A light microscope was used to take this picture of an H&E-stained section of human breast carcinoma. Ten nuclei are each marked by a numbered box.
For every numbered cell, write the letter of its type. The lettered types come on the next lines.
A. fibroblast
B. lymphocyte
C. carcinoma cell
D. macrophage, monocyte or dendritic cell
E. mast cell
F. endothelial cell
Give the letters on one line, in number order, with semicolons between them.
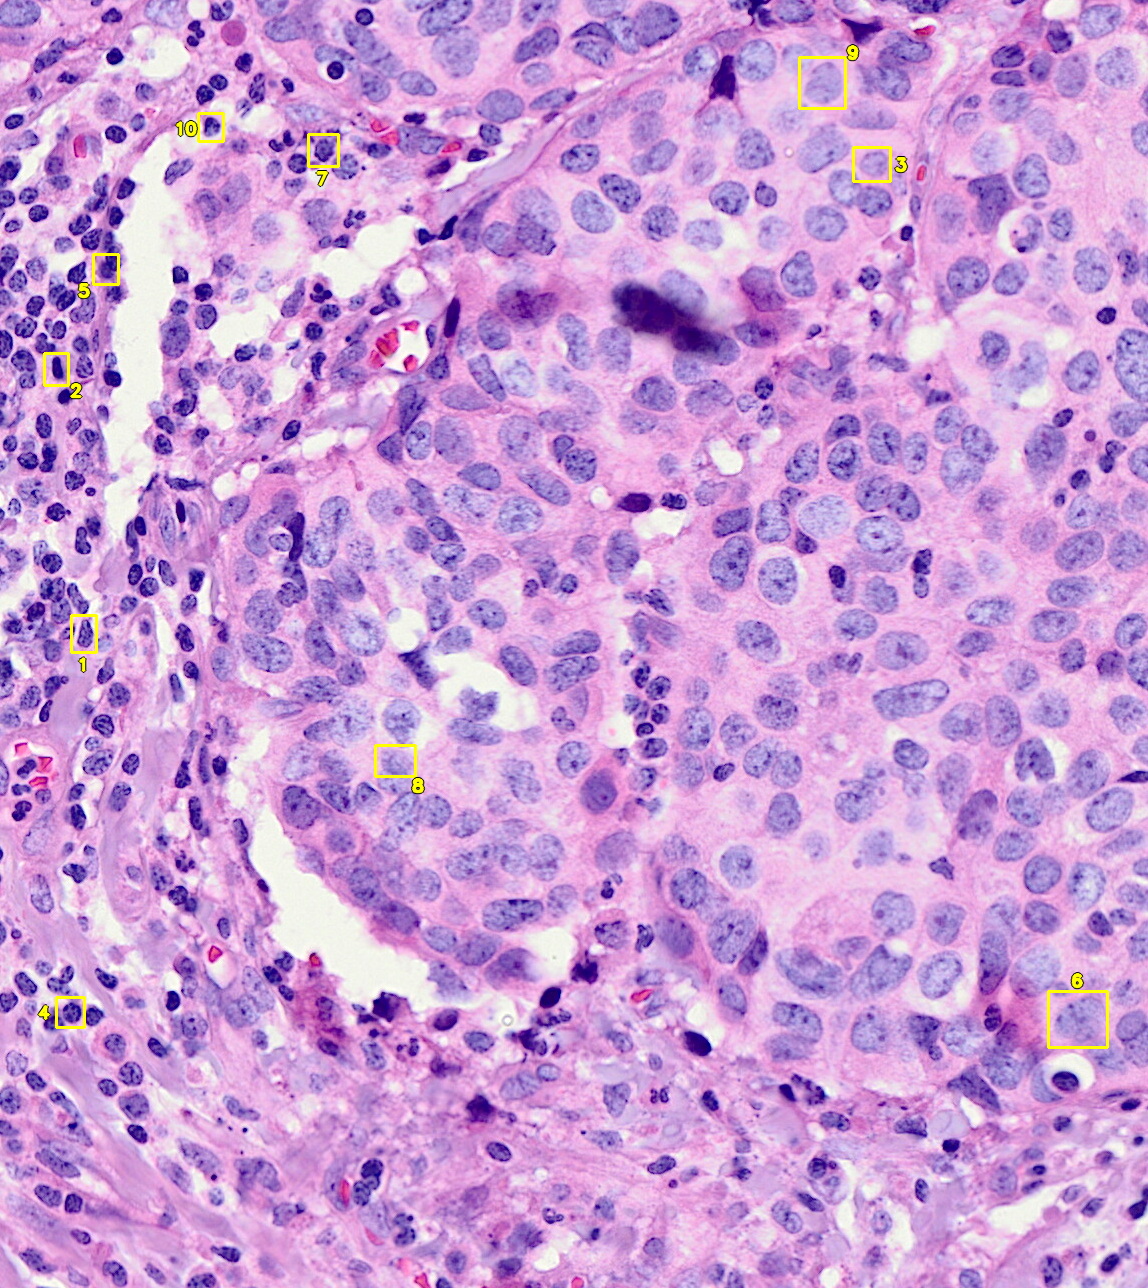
B; B; C; B; B; C; B; C; C; B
